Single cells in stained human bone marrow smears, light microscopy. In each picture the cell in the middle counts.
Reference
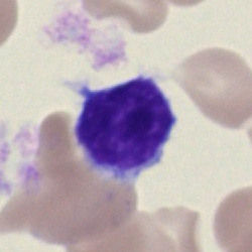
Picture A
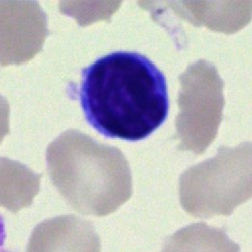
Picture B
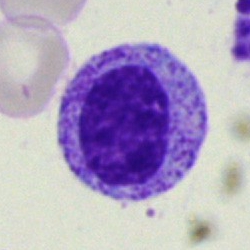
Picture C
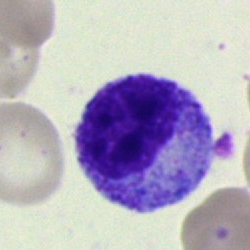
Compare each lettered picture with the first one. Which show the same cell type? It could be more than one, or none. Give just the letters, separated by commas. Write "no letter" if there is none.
A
